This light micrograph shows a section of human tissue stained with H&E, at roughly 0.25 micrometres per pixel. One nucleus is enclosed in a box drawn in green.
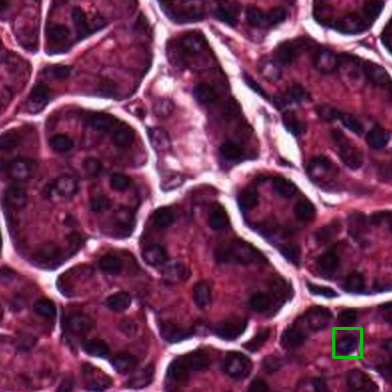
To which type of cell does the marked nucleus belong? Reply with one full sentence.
The mark falls on a nucleus belonging to a pancreatic acinar cell.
